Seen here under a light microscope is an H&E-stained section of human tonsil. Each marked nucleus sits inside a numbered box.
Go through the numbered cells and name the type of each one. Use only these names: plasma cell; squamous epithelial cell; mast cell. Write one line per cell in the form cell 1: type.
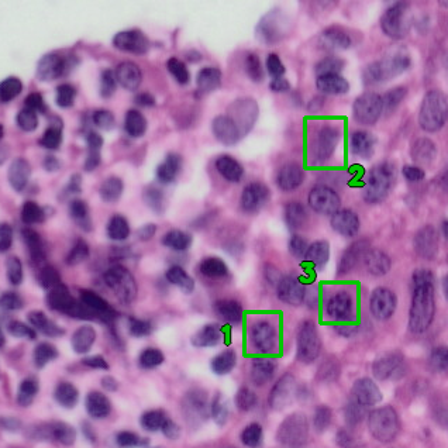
cell 1: plasma cell
cell 2: squamous epithelial cell
cell 3: plasma cell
